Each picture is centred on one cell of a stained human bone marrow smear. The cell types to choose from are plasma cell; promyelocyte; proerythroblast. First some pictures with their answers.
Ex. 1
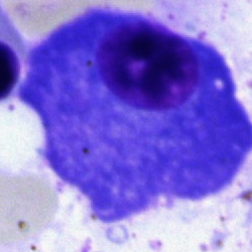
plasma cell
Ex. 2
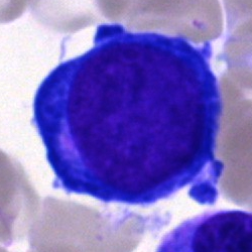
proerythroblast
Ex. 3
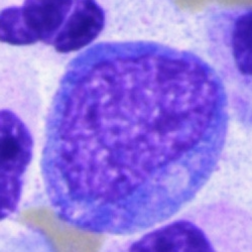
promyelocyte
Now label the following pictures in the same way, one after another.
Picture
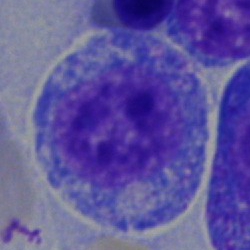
promyelocyte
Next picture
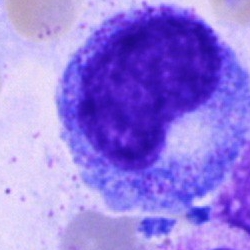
promyelocyte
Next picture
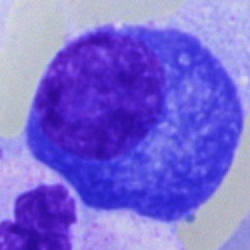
plasma cell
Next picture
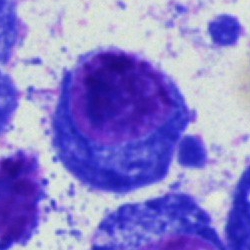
plasma cell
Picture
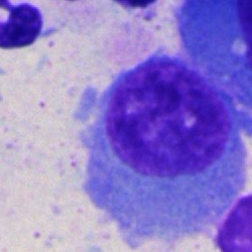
plasma cell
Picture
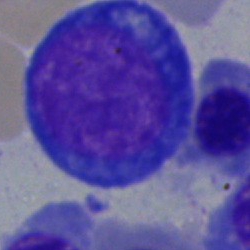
proerythroblast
